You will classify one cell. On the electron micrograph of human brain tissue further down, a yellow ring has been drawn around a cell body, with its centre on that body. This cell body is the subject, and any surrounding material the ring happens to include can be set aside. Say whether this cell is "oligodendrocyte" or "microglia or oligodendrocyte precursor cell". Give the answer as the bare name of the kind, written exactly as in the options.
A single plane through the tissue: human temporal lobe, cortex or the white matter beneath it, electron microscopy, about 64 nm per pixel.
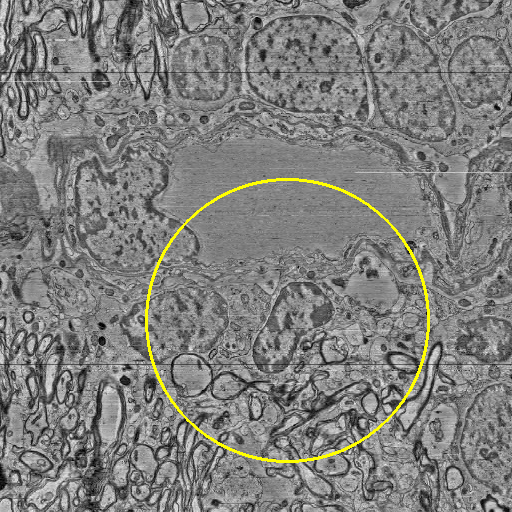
microglia or oligodendrocyte precursor cell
